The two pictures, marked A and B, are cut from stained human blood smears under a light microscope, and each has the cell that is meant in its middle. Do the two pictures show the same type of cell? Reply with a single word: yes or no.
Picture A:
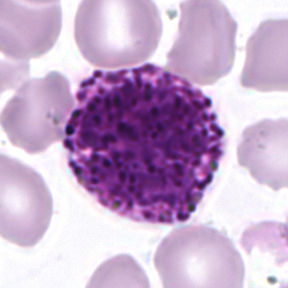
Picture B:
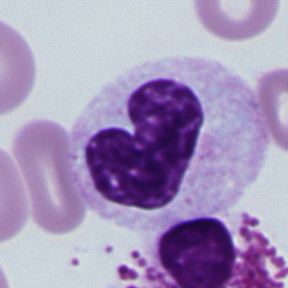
no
